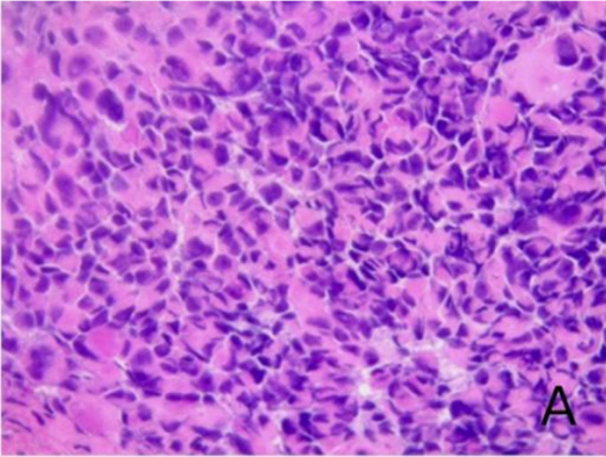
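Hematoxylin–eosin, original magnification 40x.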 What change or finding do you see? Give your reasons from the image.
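Densely packed cells fill the whole field. Nuclei are crowded and closely apposed with little intervening stroma.
Conclusion: hypercellular tumor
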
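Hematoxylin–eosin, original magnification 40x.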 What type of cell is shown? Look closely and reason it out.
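Cells are polygonal rather than spindled. Nuclei are large and dark purple.
Answer: epithelioid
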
